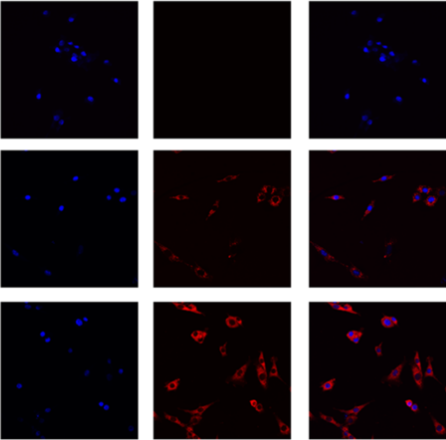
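In the top row only the nuclei show, with no red anywhere. In the lower rows red fills the cytoplasm around each nucleus, outlining elongated and angular cell bodies, and the red is strongest in the bottom row.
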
